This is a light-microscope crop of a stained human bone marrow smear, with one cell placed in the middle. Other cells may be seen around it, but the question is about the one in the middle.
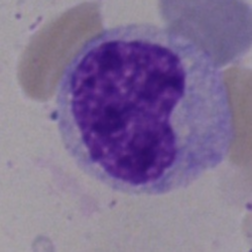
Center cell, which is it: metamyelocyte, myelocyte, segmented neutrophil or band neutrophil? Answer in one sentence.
On this slide crop, the central cell is a metamyelocyte.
